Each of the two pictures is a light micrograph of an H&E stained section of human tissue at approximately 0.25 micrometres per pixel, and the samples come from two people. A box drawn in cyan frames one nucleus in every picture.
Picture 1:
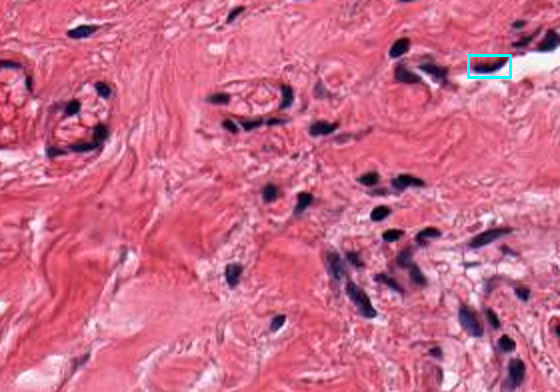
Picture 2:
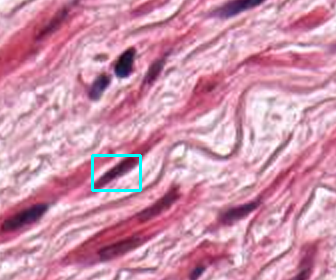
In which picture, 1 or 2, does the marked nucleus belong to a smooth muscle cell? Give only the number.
2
